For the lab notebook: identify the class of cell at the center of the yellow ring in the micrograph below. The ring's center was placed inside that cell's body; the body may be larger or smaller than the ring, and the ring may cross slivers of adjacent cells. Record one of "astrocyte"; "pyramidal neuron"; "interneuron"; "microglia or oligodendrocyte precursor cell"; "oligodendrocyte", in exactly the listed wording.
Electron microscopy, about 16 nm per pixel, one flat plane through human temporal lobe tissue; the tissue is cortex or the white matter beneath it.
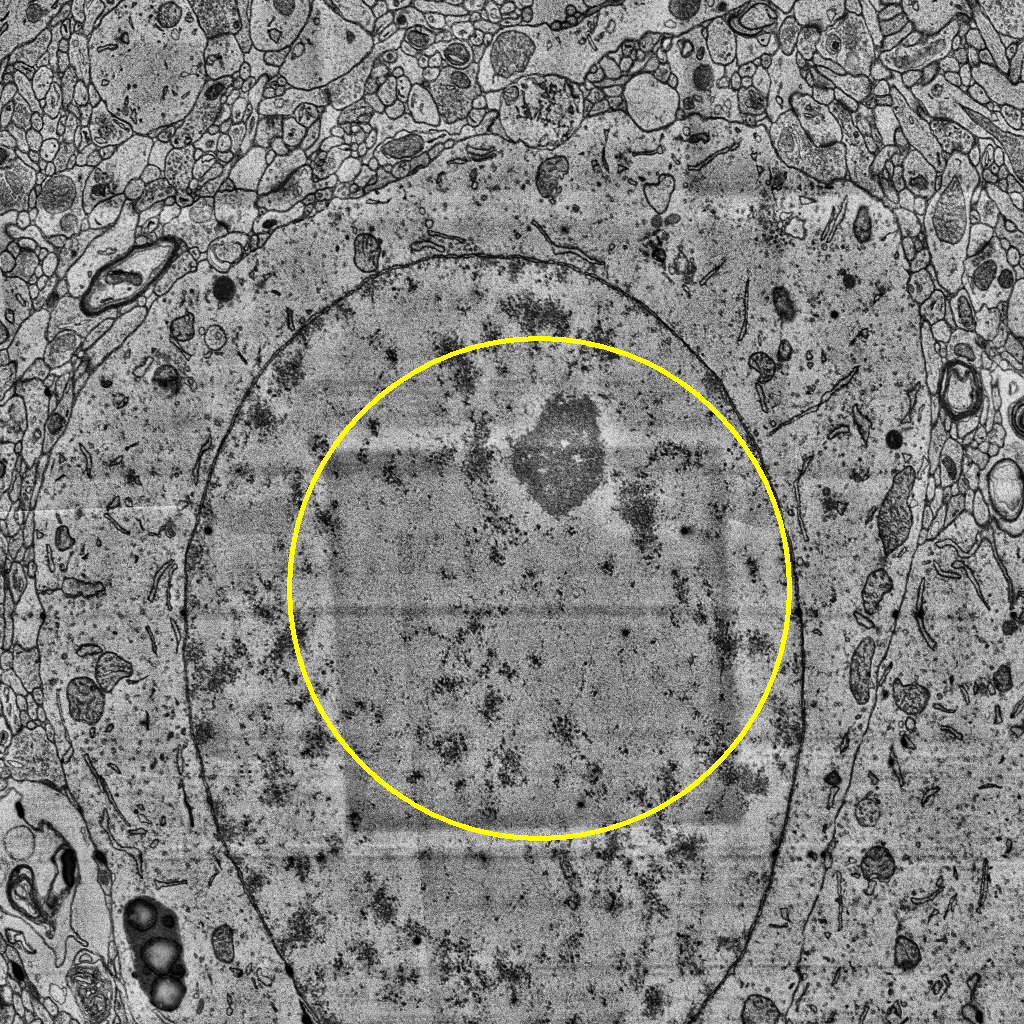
pyramidal neuron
